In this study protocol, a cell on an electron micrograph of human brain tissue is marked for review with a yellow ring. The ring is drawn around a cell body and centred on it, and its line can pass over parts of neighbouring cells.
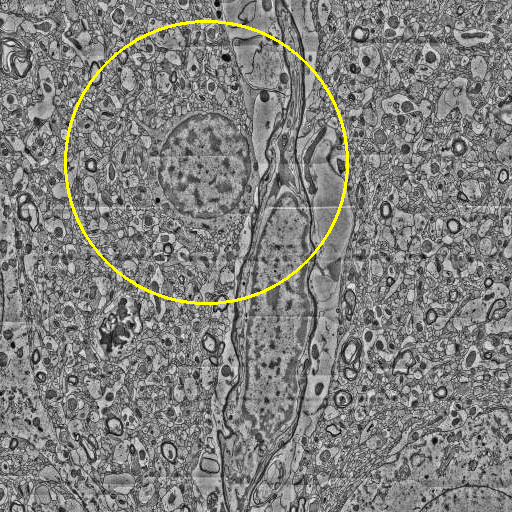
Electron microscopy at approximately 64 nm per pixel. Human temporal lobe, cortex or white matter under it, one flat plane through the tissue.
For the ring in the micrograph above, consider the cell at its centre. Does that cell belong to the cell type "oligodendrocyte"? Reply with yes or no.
yes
